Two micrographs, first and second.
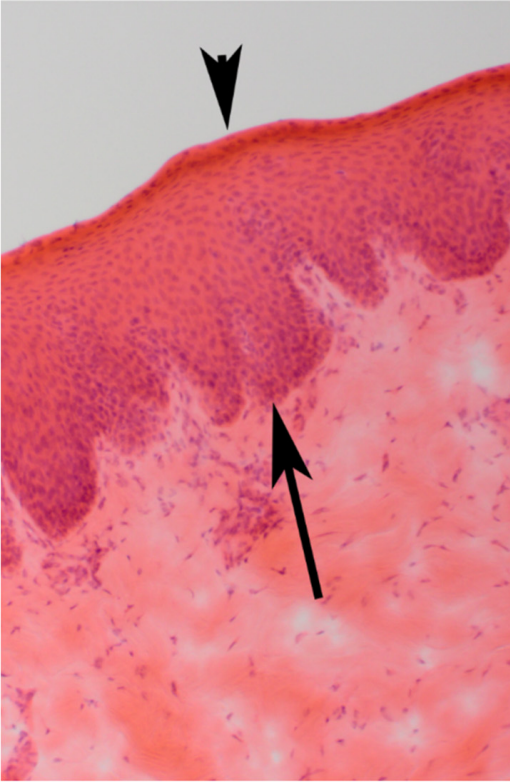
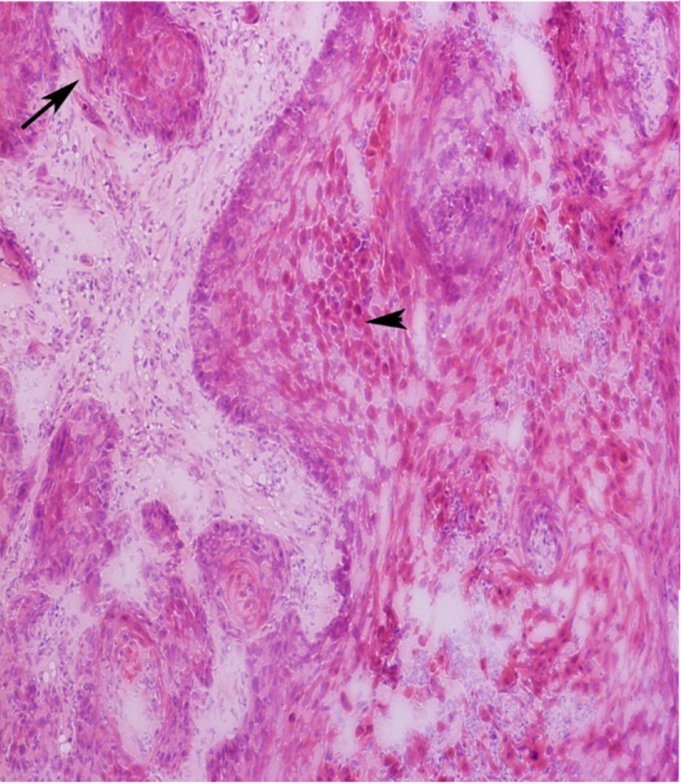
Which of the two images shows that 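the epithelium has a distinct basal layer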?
The first image.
